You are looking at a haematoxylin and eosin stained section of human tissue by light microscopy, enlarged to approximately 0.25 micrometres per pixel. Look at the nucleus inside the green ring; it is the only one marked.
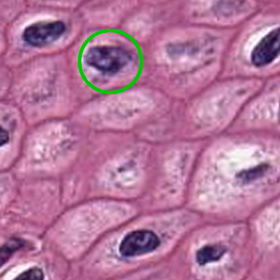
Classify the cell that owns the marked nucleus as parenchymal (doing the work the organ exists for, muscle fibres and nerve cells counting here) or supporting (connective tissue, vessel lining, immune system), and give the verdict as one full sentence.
It is a parenchymal cell, namely a squamous epithelial cell, to which the marked nucleus belongs.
